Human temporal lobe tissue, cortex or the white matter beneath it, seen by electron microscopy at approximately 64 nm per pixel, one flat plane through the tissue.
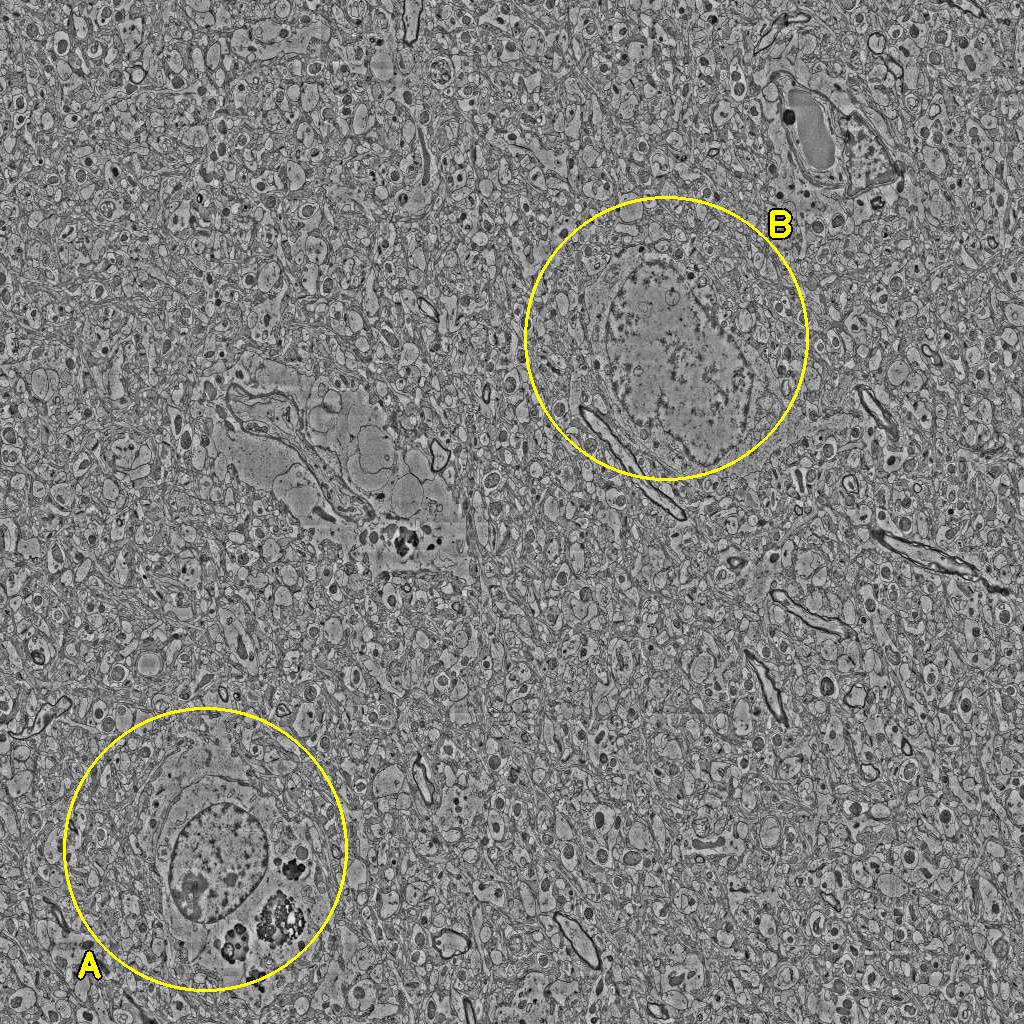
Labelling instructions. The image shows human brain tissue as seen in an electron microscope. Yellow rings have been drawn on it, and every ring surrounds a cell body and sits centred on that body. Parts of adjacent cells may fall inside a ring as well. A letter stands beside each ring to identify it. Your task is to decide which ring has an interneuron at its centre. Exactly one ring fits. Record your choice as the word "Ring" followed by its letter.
Ring B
